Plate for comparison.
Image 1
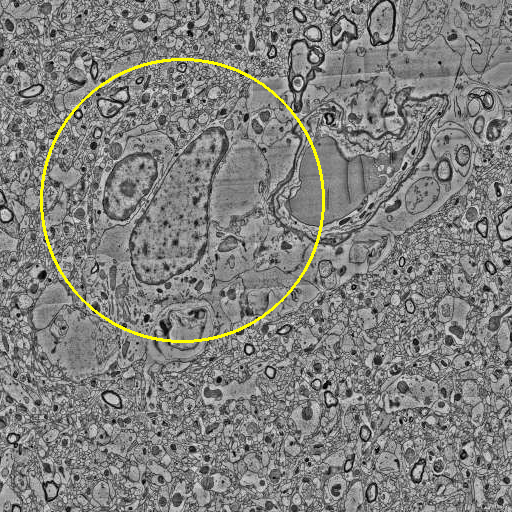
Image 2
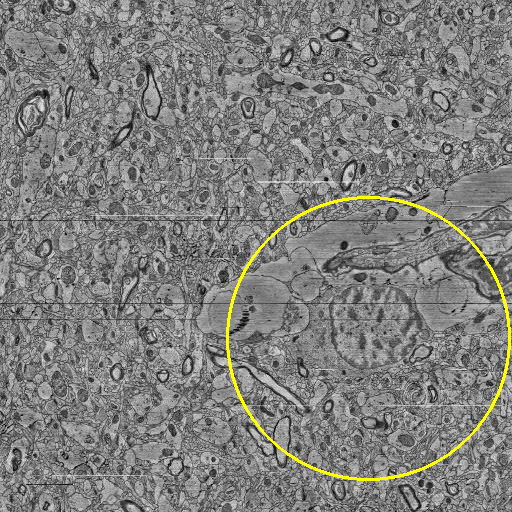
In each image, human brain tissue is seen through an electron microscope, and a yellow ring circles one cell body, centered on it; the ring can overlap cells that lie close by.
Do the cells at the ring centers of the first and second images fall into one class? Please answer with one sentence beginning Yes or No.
No, the first and second images show two classes of cell at the ring centers.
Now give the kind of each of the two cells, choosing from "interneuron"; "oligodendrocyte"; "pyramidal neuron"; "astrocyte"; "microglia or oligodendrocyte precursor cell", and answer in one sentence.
The cell in the first picture is a microglial cell or oligodendrocyte precursor cell, and the cell in the second is an oligodendrocyte.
